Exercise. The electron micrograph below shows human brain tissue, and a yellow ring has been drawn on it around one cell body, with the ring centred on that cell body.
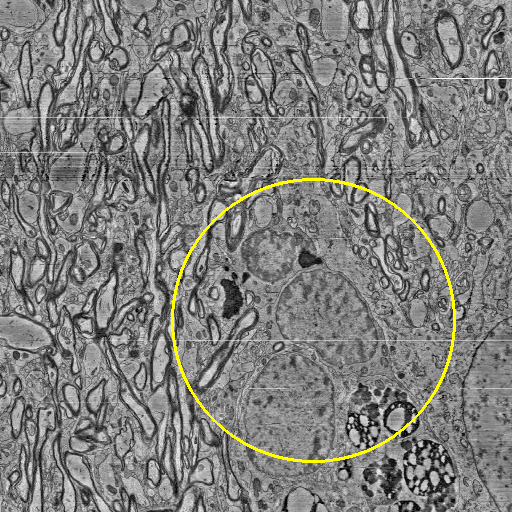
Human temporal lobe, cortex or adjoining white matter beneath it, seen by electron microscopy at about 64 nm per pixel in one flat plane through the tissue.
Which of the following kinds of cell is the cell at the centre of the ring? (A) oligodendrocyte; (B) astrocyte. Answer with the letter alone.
A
